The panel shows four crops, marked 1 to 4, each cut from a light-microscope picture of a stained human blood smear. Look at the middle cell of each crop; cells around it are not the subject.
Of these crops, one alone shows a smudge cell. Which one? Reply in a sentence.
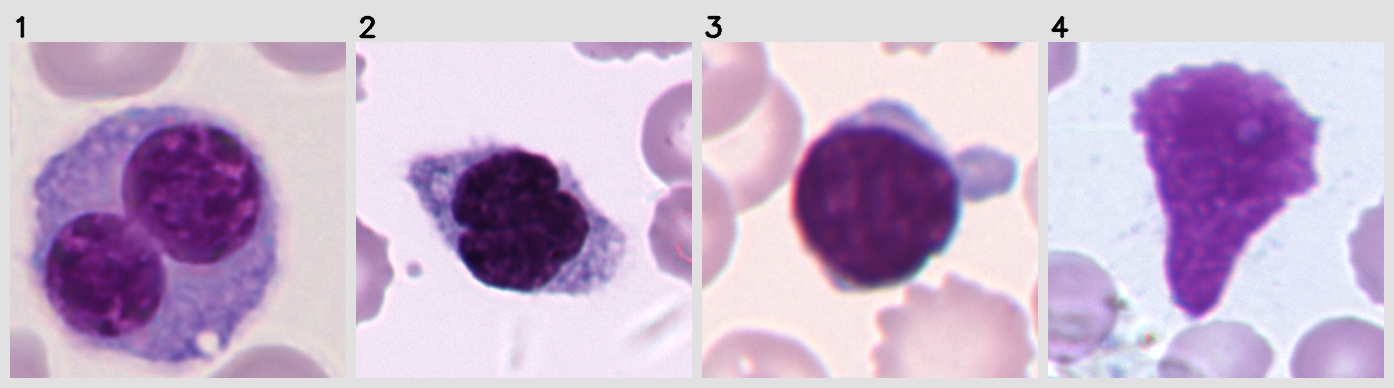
Crop 4 is the crop featuring a smudge cell at its center.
